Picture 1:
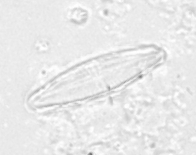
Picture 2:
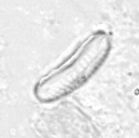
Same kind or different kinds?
Same: Achnanthidium.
